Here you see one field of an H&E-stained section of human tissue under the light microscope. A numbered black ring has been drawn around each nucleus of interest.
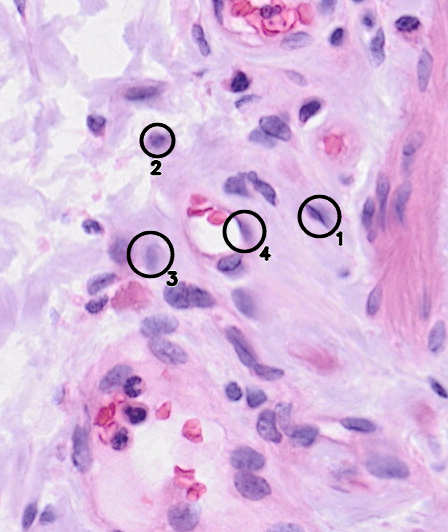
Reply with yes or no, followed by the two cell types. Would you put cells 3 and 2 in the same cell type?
No, cell 3 is a fibroblast and cell 2 is a macrophage or monocyte.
